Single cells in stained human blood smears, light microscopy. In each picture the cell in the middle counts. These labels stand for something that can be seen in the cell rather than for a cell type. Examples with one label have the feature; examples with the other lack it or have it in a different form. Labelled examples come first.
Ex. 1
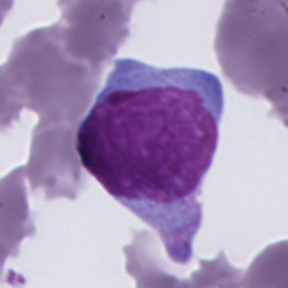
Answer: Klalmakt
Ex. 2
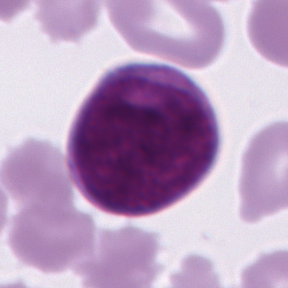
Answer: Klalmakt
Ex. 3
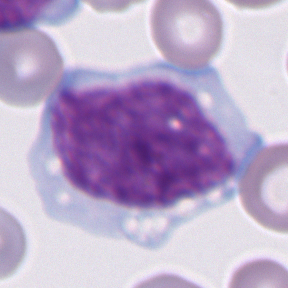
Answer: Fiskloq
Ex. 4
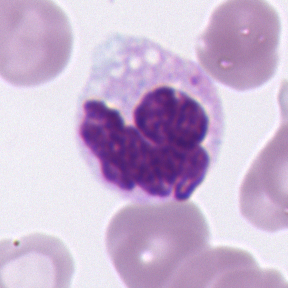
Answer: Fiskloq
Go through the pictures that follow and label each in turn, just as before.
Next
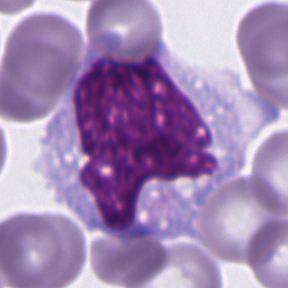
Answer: Fiskloq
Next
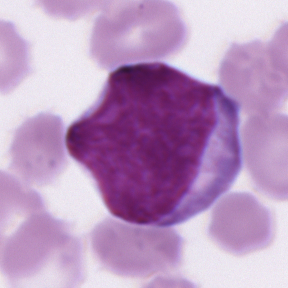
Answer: Klalmakt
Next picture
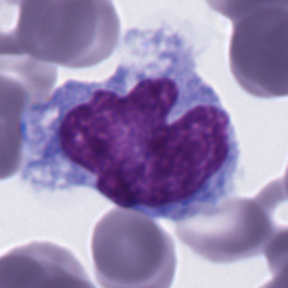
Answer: Fiskloq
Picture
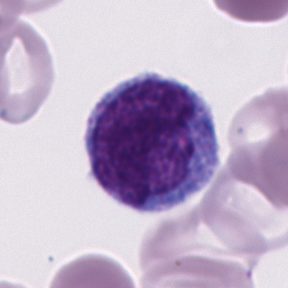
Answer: Klalmakt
